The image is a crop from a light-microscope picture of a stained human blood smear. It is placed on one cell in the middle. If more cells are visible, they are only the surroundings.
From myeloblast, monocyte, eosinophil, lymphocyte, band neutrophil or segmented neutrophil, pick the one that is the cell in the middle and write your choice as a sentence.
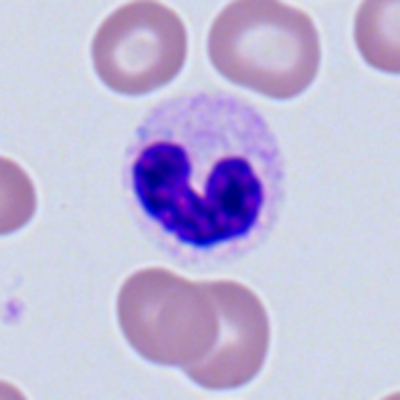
The center cell of this crop is a band neutrophil.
